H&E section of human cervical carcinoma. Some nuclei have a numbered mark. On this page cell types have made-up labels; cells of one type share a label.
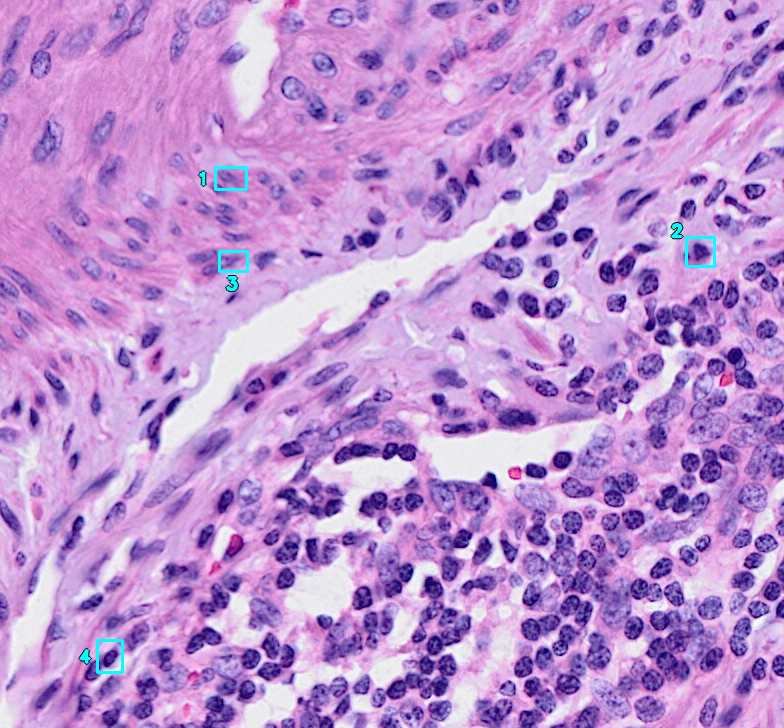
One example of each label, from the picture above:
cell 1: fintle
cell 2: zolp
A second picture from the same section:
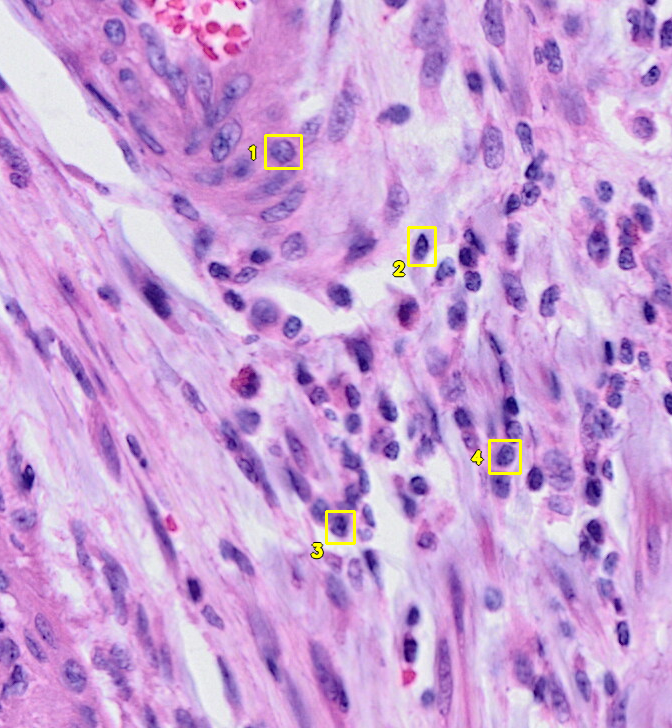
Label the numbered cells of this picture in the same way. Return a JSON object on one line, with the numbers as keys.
{"1": "fintle", "2": "zolp", "3": "zolp", "4": "zolp"}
